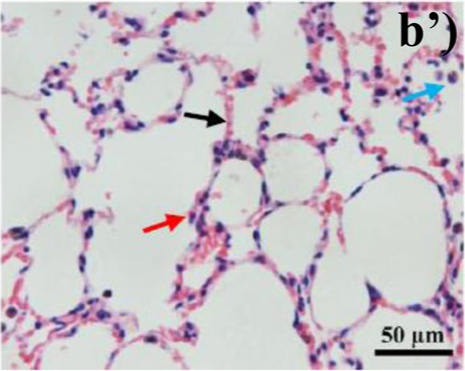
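Lung parenchyma with open, rounded alveolar air spaces separated by septa that carry blue-purple nuclei in pink tissue. Some septa are thicker and more cellular than others. The alveolar lumens are mostly empty. An occasional round cell lies within an air space. No dark pigment deposits are evident.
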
